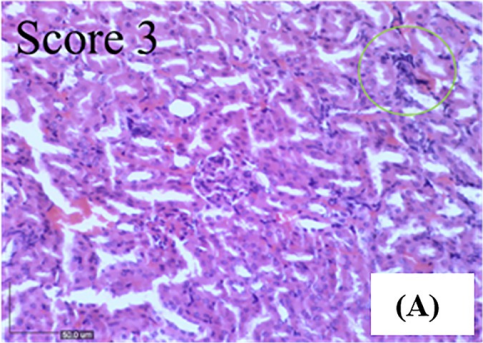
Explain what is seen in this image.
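This is kidney cortex with a glomerulus near the centre amid many tubules whose pink-staining epithelium lines widened, pale lumens. In one corner a tight cluster of small dark nuclei sits between the tubules, and streaks of red-staining material lie along the tissue at the lower left.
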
